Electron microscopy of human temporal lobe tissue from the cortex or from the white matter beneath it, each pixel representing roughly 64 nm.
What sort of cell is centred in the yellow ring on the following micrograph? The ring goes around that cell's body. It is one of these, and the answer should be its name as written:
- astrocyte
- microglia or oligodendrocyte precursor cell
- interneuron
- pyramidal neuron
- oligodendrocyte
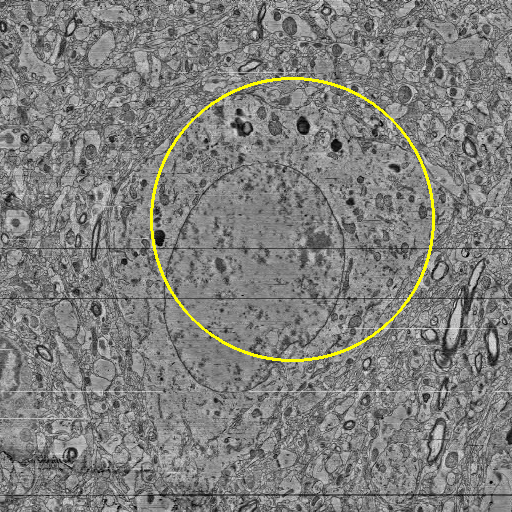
pyramidal neuron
